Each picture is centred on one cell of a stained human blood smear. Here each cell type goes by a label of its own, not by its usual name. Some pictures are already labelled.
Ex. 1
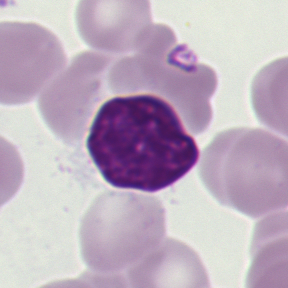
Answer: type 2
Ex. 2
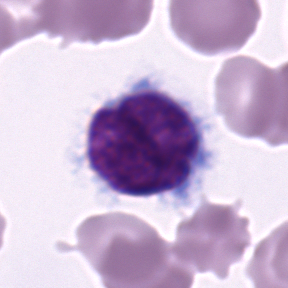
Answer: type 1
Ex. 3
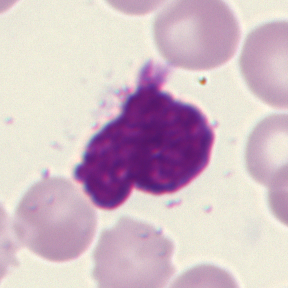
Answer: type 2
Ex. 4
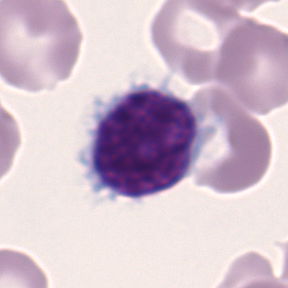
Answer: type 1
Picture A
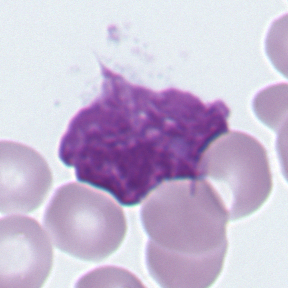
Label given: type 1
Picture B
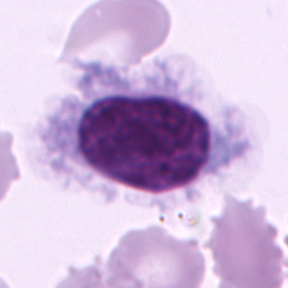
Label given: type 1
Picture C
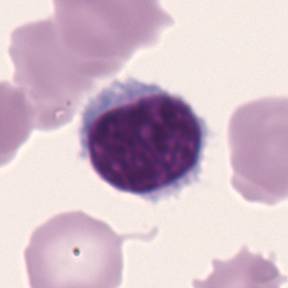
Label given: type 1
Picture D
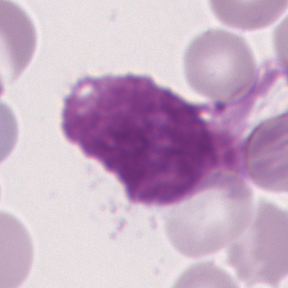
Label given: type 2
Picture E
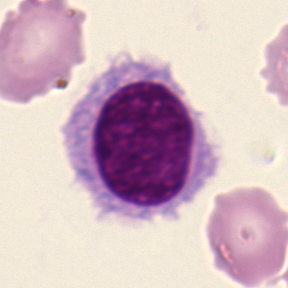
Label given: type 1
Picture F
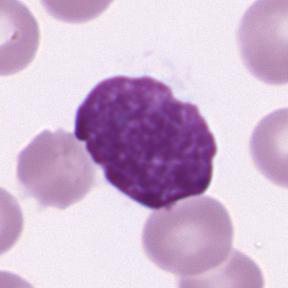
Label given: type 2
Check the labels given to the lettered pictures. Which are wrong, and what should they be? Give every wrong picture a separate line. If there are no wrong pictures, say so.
A: not type 1 but type 2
